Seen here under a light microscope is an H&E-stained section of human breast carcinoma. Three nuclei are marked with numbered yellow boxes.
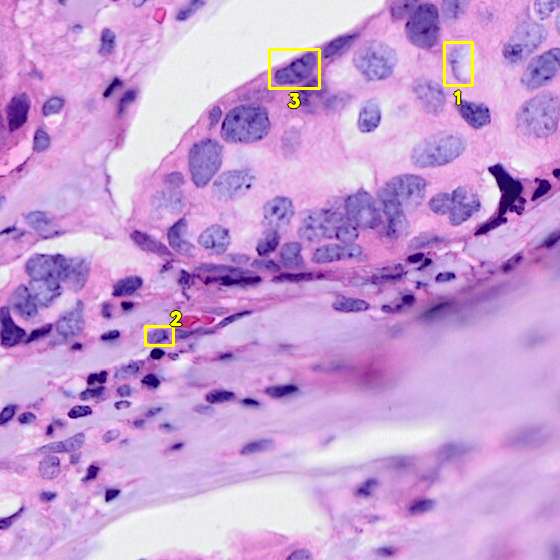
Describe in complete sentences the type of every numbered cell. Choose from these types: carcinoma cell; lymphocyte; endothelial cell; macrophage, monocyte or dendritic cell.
Cells 1 and 3 are carcinoma cells. Cell 2 is an endothelial cell.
